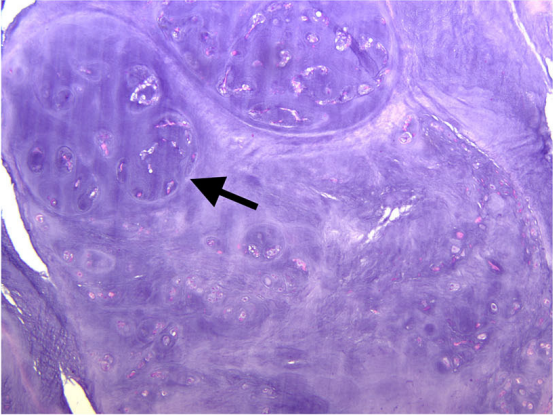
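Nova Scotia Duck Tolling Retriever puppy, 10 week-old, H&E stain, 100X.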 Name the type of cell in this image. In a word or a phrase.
Chondrocyte-like cells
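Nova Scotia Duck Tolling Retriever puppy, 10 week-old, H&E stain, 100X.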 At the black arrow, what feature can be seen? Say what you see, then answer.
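The arrow points to a rounded, sharply bounded group of several cells. Cells in the group sit in lacuna-like spaces within purple matrix. On this evidence: nodular clusters.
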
